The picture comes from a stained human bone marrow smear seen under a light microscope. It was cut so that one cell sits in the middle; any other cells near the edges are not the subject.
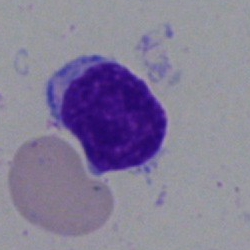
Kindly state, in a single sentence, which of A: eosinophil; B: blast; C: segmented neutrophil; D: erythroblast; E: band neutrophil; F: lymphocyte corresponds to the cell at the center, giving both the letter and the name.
Option F is the right choice, the central cell being a lymphocyte.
